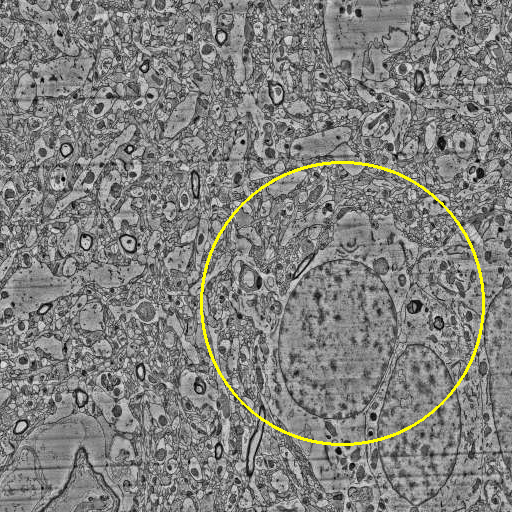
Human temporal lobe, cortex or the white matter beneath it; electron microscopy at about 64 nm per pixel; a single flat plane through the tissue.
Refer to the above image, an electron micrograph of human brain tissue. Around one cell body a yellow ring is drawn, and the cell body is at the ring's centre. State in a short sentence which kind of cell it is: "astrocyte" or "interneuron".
The centre of the ring falls on an astrocyte.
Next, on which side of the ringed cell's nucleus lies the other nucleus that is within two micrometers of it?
The second nucleus lies to the right of it.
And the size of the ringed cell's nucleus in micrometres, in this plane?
The ringed cell's nucleus measures approximately 10 by 7 micrometres in this plane.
